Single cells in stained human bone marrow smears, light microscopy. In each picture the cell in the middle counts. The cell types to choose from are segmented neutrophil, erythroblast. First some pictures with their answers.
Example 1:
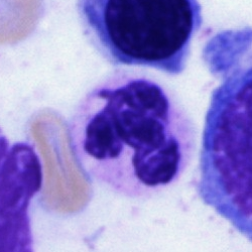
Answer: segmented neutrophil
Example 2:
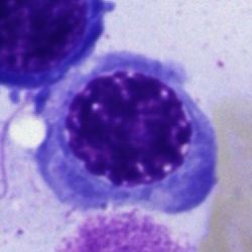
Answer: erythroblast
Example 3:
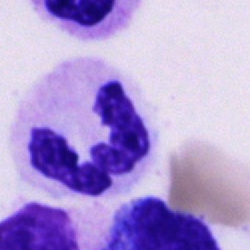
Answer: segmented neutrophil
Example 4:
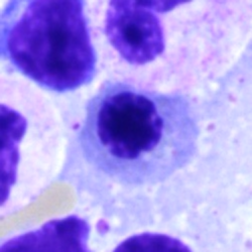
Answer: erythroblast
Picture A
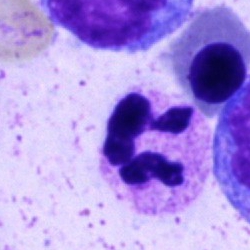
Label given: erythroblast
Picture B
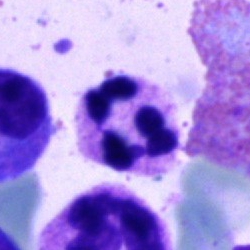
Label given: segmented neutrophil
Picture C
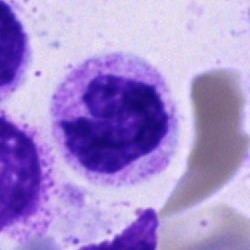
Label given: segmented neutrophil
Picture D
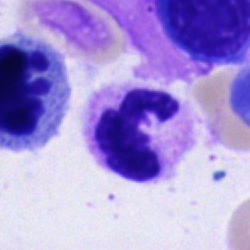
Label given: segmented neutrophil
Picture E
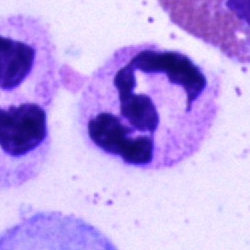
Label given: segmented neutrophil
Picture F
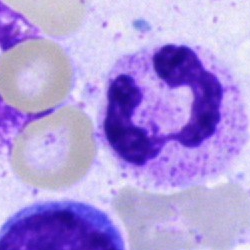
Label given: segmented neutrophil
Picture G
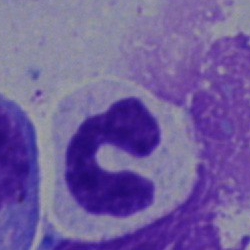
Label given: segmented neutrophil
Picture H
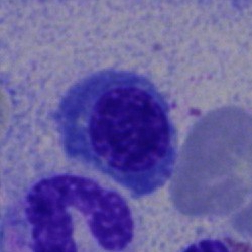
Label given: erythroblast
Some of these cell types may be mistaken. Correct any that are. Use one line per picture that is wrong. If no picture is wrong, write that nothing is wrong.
Wrong: A (erythroblast); correct: segmented neutrophil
